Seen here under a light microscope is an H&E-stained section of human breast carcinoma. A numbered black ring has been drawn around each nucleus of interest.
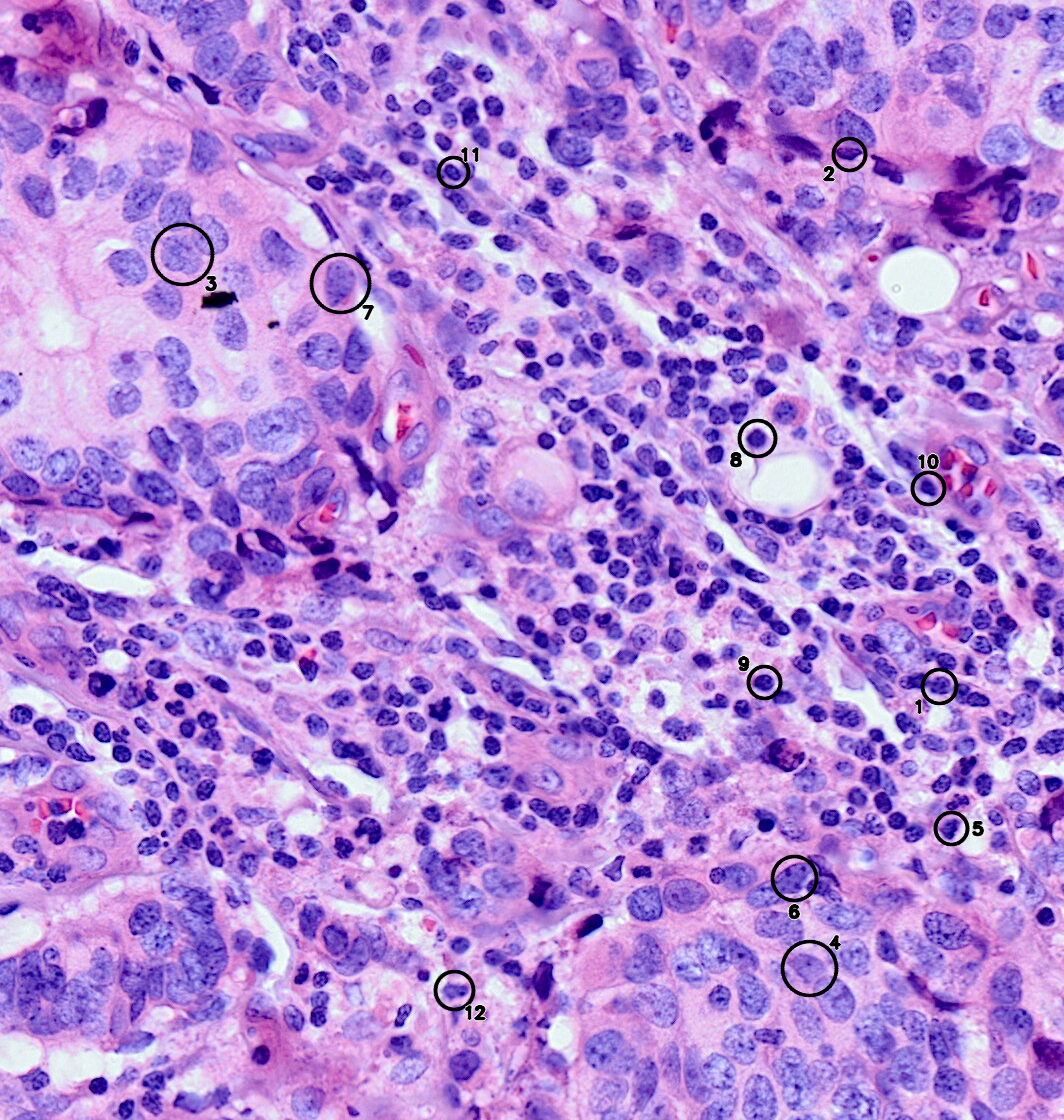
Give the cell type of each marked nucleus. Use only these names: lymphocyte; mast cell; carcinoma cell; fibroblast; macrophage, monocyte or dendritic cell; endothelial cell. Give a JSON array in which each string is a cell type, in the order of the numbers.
["lymphocyte", "carcinoma cell", "carcinoma cell", "carcinoma cell", "lymphocyte", "carcinoma cell", "carcinoma cell", "lymphocyte", "lymphocyte", "lymphocyte", "lymphocyte", "lymphocyte"]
